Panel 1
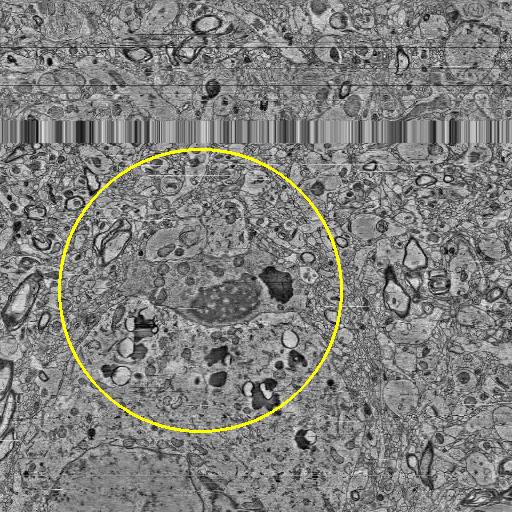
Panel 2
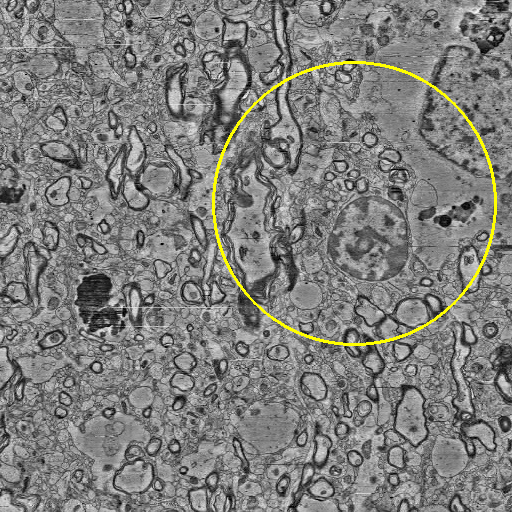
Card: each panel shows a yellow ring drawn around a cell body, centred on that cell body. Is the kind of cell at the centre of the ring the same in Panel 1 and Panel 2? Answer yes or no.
no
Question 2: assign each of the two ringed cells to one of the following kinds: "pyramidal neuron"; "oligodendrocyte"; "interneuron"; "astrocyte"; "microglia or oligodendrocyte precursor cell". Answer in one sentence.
The two cells are an oligodendrocyte in the first picture and a microglial cell or oligodendrocyte precursor cell in the second.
